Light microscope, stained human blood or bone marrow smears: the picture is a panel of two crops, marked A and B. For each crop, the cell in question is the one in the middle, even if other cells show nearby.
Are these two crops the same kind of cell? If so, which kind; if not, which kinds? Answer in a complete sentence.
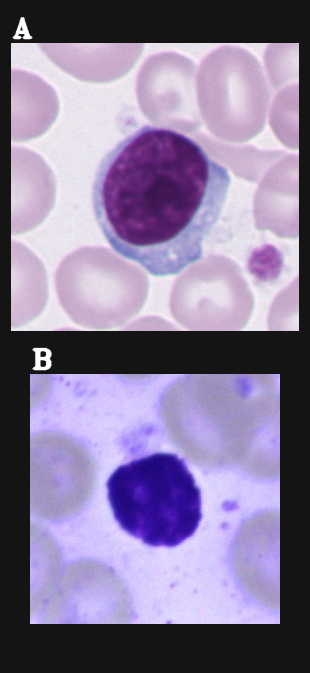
Yes, the cells placed at the centre of both crops are lymphocytes.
